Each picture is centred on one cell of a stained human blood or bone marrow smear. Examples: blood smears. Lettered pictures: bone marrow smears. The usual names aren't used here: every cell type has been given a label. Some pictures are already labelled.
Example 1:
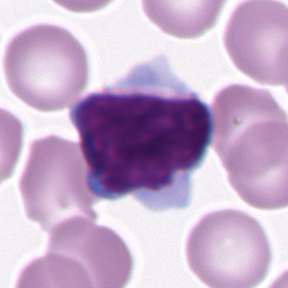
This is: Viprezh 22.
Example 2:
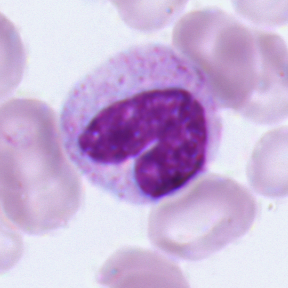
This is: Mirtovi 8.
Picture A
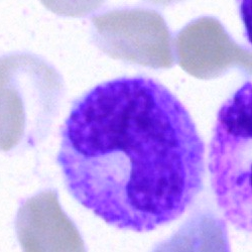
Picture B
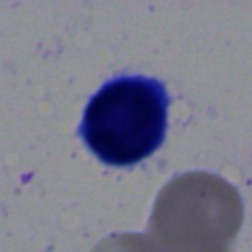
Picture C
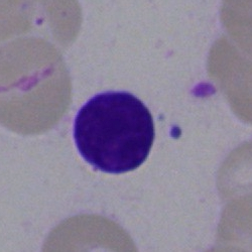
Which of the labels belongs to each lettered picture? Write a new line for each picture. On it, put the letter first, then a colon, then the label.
A: Mirtovi 8.
B: Viprezh 22.
C: Viprezh 22.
